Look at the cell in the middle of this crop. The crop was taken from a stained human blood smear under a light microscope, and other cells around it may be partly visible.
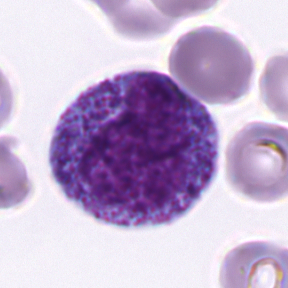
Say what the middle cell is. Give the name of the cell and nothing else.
promyelocyte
